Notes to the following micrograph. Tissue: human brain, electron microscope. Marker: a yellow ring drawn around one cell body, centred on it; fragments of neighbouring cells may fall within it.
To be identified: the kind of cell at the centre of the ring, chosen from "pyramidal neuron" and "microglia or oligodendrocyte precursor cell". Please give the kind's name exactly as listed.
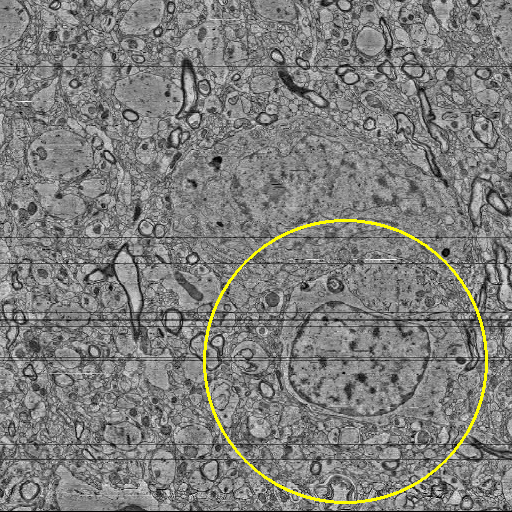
microglia or oligodendrocyte precursor cell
